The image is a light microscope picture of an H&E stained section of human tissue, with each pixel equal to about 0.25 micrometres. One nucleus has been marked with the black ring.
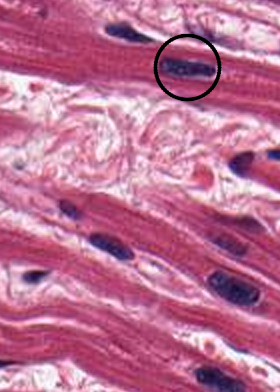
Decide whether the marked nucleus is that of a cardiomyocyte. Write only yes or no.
yes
